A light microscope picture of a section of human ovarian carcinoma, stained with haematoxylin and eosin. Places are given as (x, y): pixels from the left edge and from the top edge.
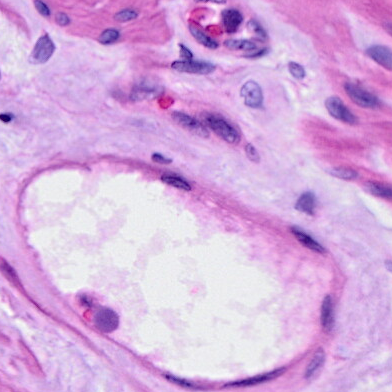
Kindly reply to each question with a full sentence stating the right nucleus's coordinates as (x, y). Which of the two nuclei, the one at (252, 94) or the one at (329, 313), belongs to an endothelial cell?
The nucleus situated at (329, 313) is the one belonging to an endothelial cell.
